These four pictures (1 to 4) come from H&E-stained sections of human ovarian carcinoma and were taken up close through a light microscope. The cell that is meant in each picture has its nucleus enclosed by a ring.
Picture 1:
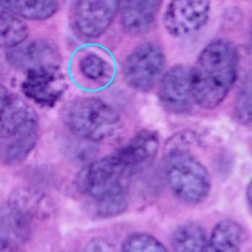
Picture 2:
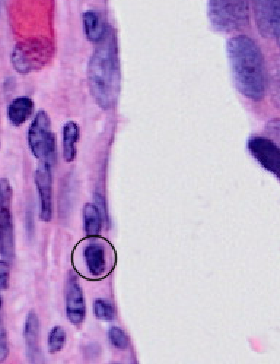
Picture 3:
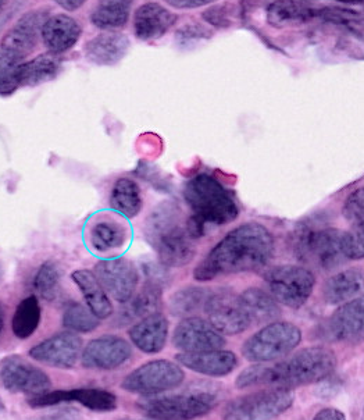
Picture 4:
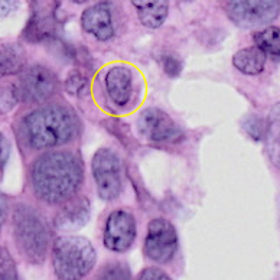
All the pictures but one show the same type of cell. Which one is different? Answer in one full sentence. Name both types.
All pictures except 2 show “macrophages or monocytes”; picture 2 shows a lymphocyte.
